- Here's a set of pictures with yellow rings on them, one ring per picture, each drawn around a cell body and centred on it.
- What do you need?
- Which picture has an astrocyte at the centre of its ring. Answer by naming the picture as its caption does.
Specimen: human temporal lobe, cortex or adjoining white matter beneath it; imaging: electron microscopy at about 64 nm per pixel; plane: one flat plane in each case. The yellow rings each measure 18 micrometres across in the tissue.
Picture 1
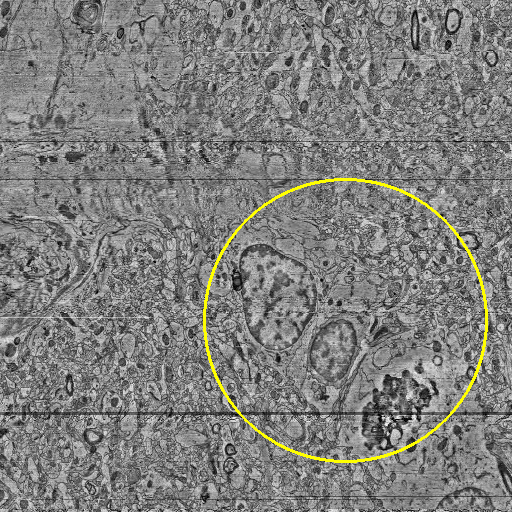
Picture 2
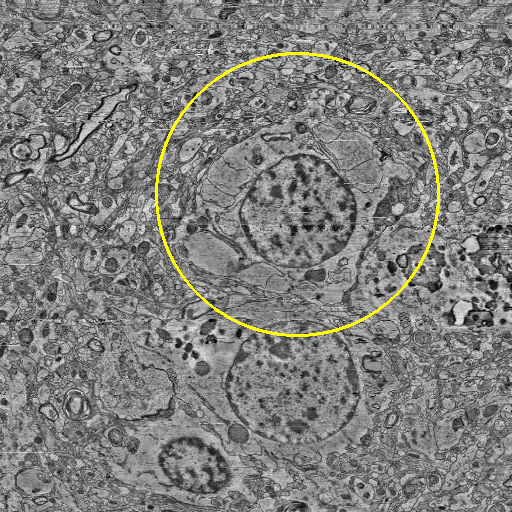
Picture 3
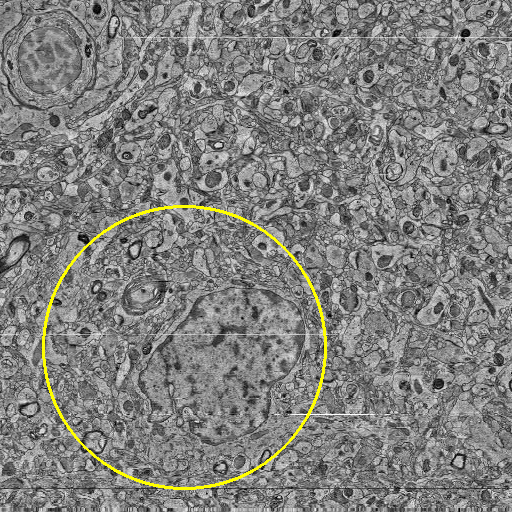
Picture 2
